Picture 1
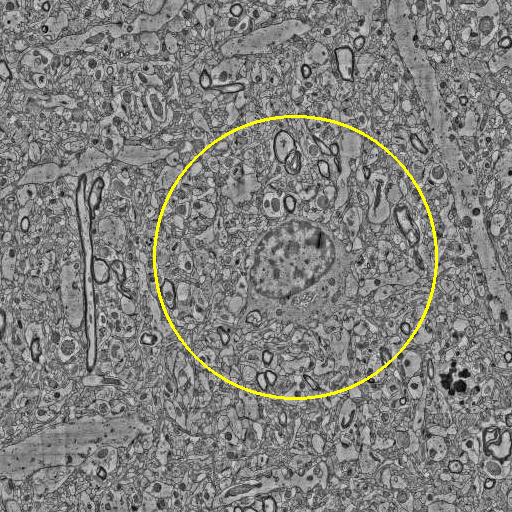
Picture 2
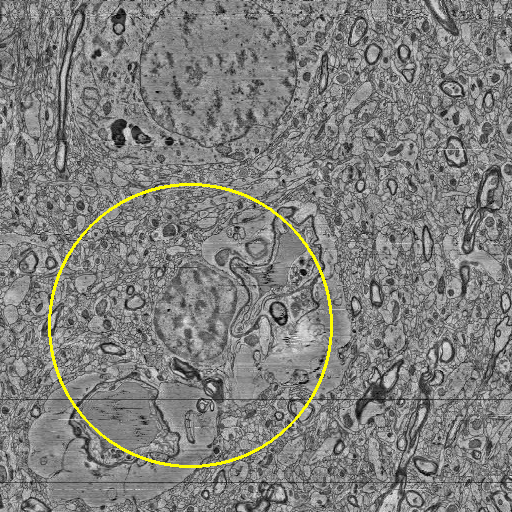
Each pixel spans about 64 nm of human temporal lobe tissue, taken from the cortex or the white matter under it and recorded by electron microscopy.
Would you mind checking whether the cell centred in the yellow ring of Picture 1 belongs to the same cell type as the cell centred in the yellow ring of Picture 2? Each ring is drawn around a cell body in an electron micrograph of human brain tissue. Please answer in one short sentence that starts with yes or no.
Yes, both cells are of the same type.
